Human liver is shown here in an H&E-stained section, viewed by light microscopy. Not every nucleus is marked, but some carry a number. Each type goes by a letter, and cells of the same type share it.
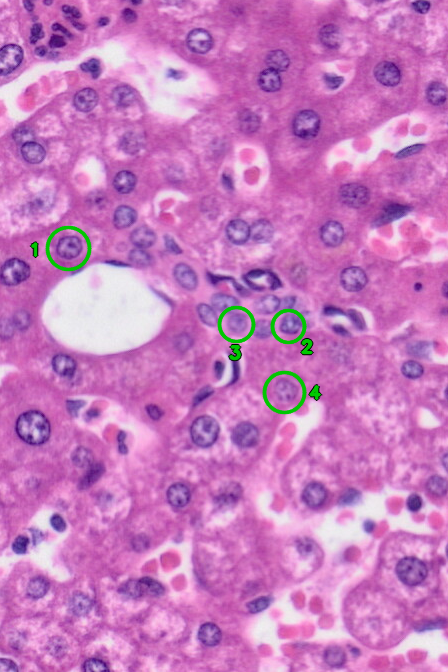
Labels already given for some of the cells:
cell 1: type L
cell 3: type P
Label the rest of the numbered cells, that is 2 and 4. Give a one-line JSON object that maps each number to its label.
{"2": "type P", "4": "type L"}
